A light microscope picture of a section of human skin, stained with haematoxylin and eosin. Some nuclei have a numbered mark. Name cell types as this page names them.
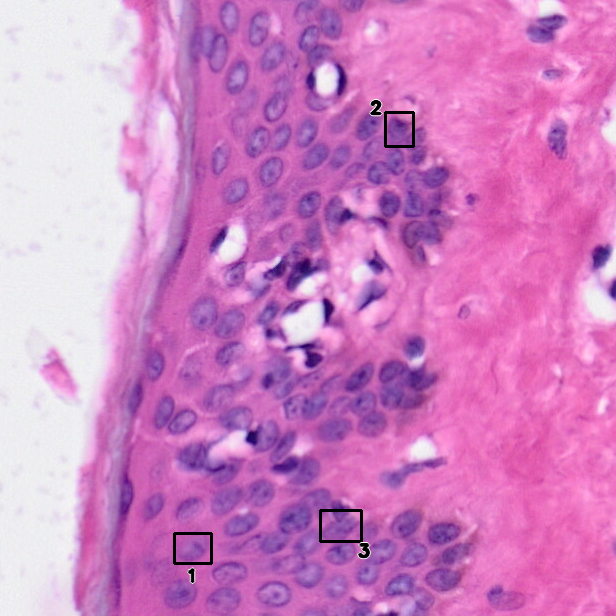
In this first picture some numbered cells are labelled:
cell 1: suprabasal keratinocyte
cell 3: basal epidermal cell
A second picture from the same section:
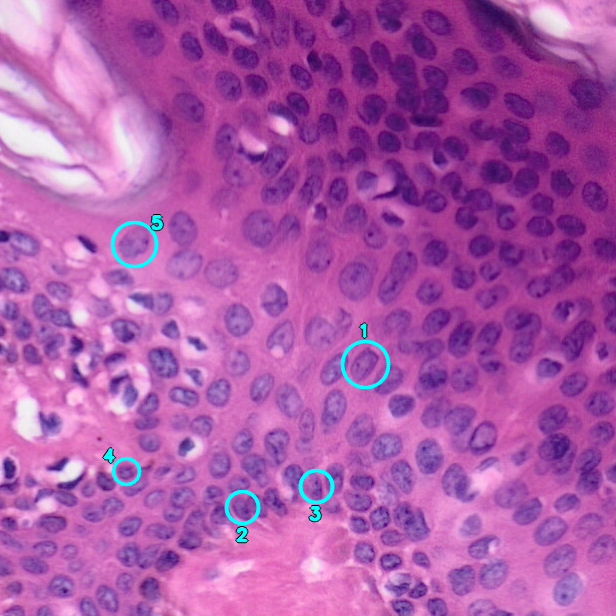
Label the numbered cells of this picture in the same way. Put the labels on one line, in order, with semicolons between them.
suprabasal keratinocyte; basal epidermal cell; basal epidermal cell; basal epidermal cell; suprabasal keratinocyte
